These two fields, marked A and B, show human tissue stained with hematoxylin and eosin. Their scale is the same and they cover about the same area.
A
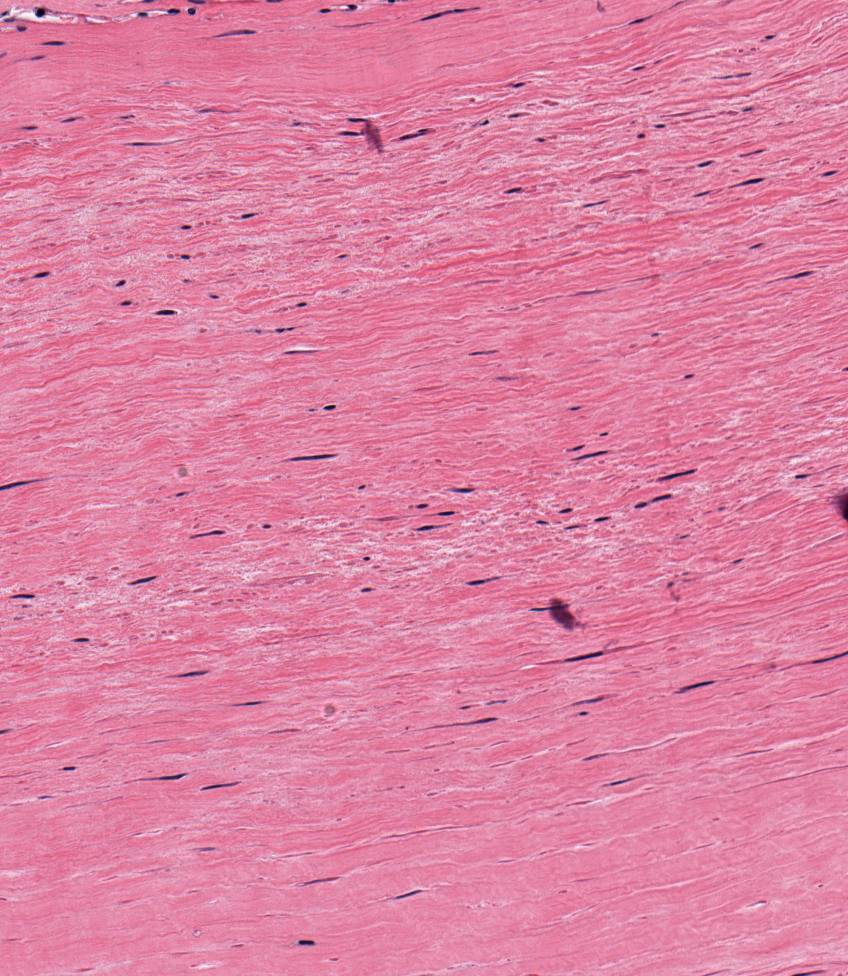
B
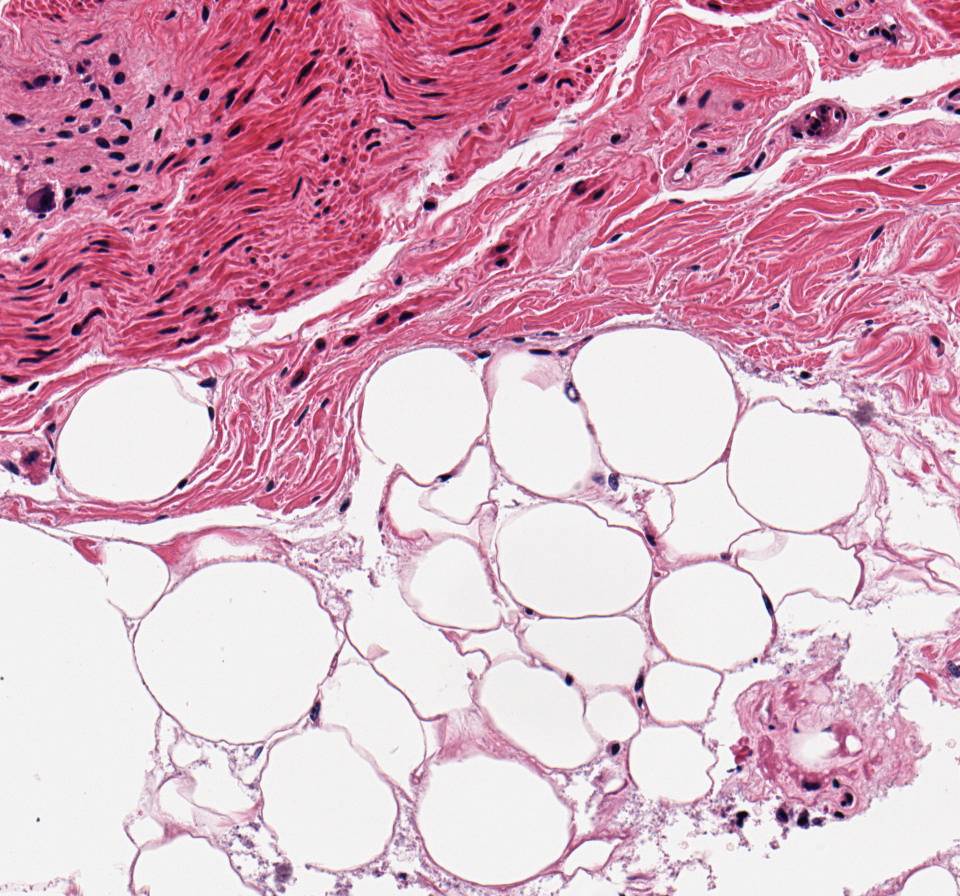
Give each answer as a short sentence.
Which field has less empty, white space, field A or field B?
Less of field A is empty and white.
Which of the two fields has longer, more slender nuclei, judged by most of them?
Longer, more slender nuclei lie in field A.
